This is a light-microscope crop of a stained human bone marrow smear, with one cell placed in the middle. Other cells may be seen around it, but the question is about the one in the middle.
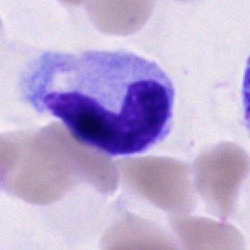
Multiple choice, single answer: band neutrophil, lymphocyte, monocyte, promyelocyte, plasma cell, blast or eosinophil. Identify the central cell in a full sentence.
The cell of interest, located centrally, is a band neutrophil.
